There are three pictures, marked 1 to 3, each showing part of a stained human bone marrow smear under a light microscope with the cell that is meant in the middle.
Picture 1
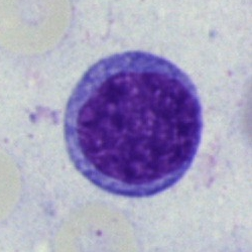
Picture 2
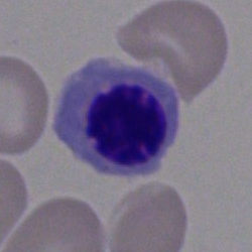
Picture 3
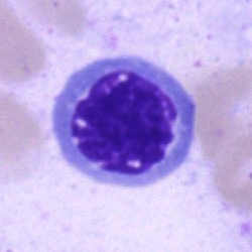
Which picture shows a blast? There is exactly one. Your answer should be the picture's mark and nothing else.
1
